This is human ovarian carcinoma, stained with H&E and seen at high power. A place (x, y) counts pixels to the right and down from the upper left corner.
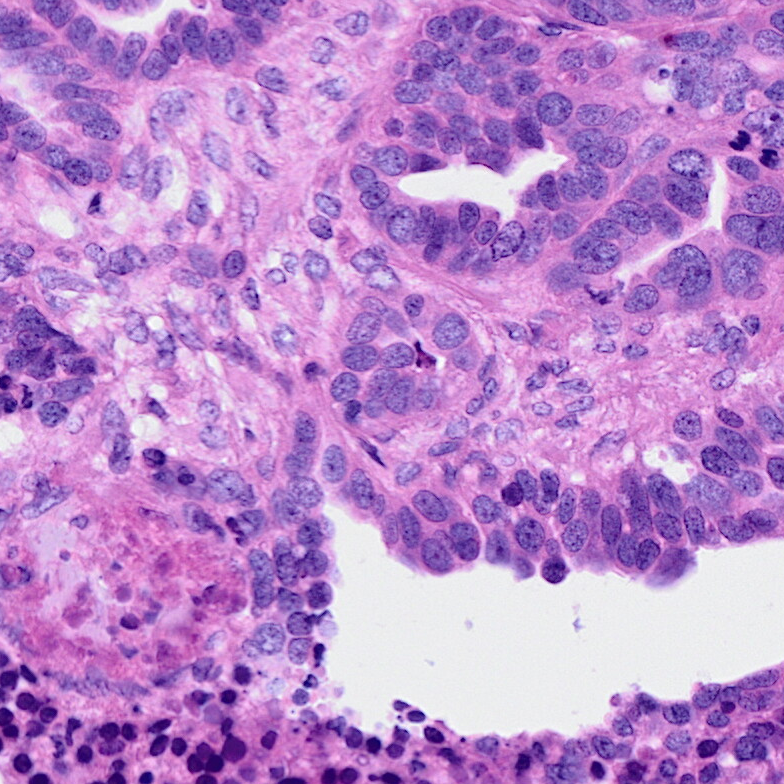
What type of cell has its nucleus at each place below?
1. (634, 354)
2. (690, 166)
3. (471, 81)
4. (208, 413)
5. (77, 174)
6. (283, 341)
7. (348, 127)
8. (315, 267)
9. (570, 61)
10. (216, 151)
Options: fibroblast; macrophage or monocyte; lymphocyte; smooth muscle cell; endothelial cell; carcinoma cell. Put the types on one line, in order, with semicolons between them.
fibroblast; carcinoma cell; carcinoma cell; fibroblast; carcinoma cell; fibroblast; fibroblast; fibroblast; carcinoma cell; fibroblast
